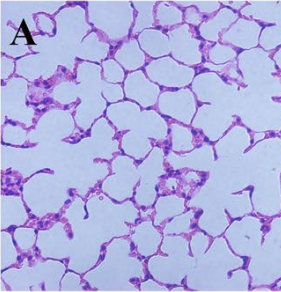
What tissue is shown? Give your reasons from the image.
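Many thin-walled, open air spaces separated by delicate septa. Septa hold scattered small purple nuclei.
Lung tissue.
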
